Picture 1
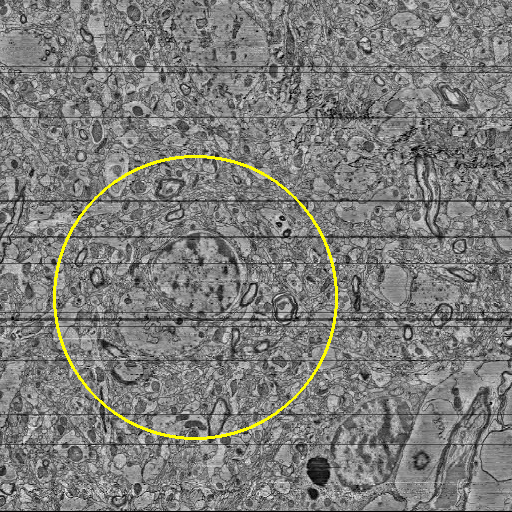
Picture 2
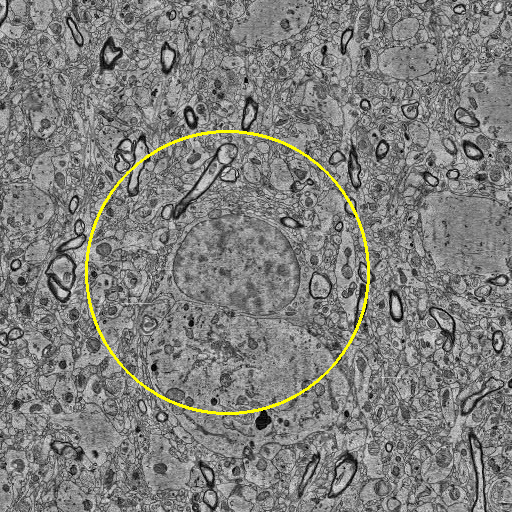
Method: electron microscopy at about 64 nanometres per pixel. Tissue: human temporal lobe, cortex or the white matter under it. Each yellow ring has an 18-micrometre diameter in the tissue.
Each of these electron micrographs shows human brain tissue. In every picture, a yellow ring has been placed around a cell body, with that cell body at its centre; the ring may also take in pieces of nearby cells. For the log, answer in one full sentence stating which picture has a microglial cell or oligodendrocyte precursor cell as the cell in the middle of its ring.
In picture 1, the cell at the centre of the yellow ring is the requested one.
